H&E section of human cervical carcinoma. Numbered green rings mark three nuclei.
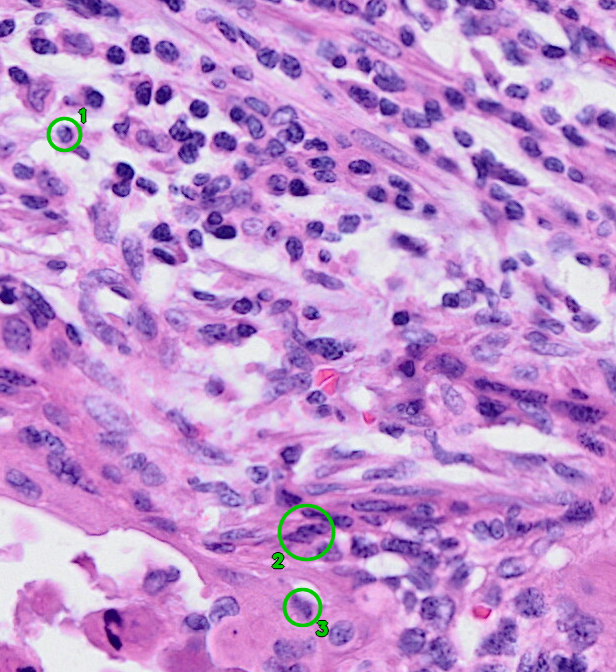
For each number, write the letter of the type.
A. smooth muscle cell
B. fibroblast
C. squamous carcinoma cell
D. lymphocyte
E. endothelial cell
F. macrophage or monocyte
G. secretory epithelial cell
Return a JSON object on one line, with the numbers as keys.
{"1": "D", "2": "C", "3": "C"}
